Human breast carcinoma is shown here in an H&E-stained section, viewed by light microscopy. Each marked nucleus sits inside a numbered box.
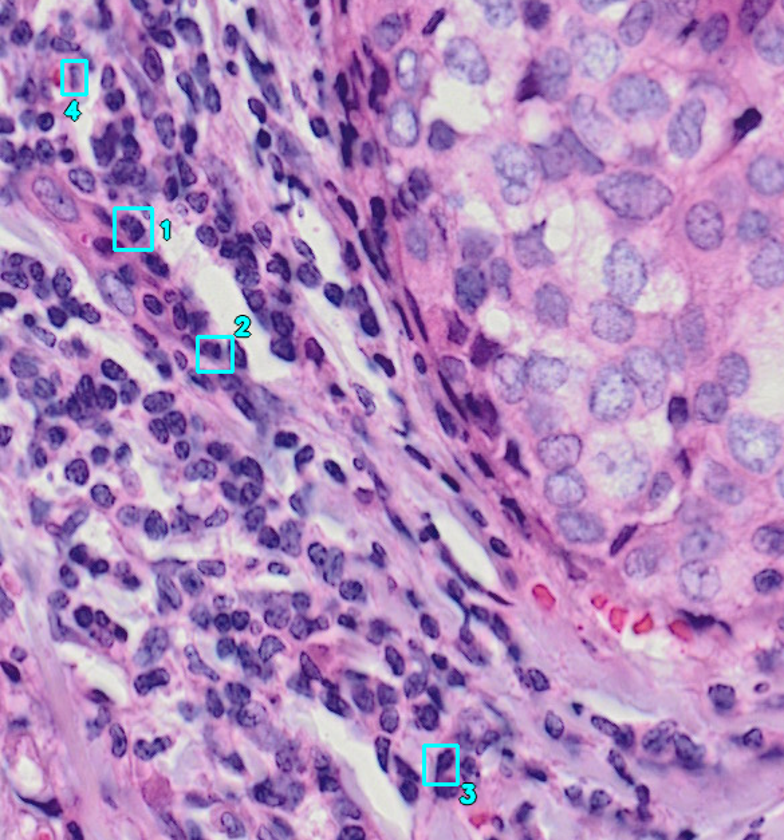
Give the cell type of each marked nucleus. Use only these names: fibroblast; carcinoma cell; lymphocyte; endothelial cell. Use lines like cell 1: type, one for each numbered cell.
cell 1: lymphocyte
cell 2: lymphocyte
cell 3: lymphocyte
cell 4: endothelial cell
